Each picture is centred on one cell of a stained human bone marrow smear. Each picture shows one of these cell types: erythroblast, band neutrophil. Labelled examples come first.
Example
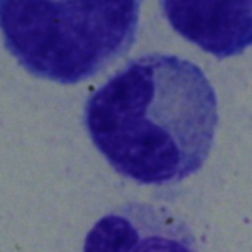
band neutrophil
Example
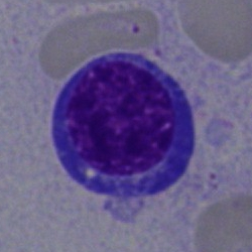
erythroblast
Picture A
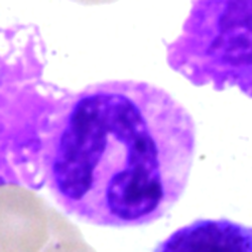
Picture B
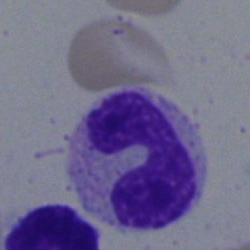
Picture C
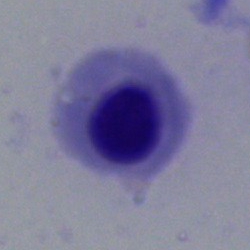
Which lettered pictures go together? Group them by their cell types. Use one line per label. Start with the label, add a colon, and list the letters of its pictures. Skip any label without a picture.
erythroblast: C
band neutrophil: A, B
